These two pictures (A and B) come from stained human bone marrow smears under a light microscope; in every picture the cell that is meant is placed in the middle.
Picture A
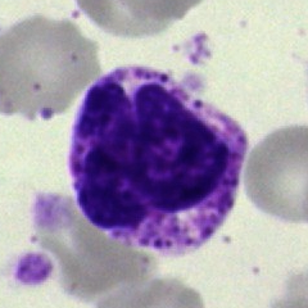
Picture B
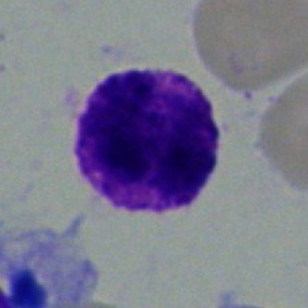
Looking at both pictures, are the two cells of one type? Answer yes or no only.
yes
